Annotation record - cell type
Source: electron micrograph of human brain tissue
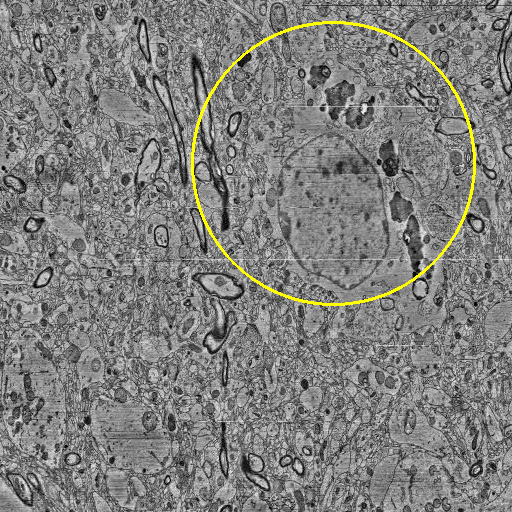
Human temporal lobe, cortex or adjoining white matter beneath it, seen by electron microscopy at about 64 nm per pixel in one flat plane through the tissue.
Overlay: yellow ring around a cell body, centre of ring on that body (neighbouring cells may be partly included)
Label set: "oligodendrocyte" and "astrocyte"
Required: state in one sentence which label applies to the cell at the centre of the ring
This cell should be labelled as an astrocyte.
